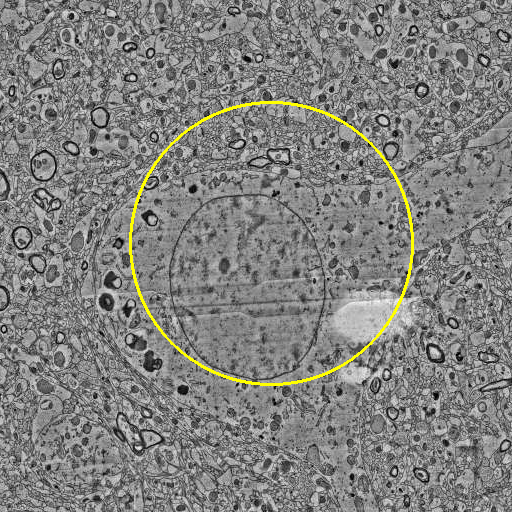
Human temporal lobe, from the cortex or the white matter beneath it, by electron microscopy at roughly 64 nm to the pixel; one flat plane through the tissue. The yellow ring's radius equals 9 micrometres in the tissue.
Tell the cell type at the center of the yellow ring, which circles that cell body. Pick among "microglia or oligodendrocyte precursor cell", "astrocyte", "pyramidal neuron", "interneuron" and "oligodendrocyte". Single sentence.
The ring is centered on the body of a pyramidal neuron.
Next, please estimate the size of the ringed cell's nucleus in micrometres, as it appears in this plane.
The nucleus comes to roughly 12 by 10 micrometres in this plane.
